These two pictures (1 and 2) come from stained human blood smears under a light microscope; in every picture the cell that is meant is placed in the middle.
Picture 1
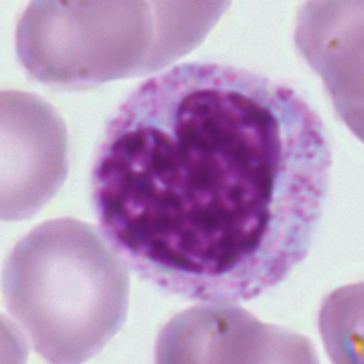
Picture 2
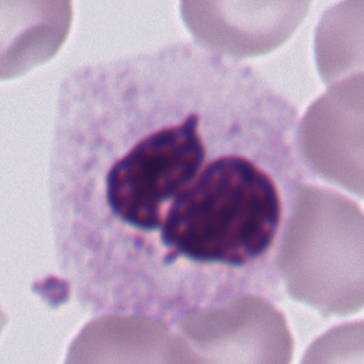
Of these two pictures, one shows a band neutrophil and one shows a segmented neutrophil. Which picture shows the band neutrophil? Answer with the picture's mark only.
1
